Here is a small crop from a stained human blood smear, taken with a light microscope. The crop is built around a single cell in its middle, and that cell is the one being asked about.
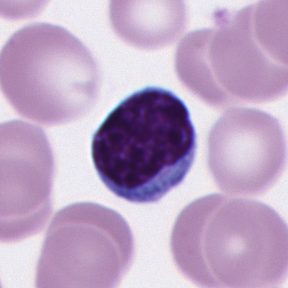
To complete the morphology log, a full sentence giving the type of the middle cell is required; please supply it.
The cell in the middle of the field of view is a typical lymphocyte.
